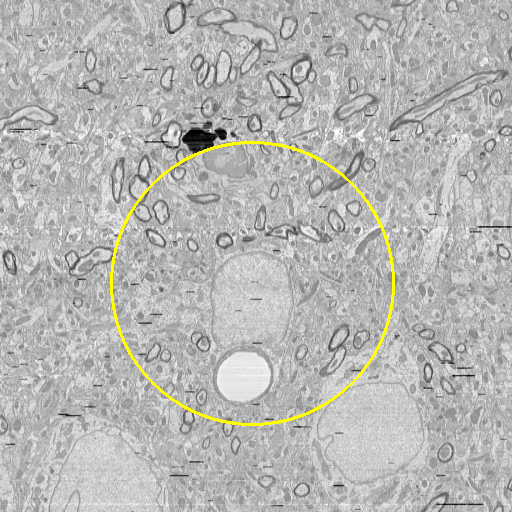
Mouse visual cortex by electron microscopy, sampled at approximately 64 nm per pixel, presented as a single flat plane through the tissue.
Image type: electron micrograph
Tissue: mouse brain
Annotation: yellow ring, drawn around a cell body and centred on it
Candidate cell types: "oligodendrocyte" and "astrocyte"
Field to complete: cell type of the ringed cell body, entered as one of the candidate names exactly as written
astrocyte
